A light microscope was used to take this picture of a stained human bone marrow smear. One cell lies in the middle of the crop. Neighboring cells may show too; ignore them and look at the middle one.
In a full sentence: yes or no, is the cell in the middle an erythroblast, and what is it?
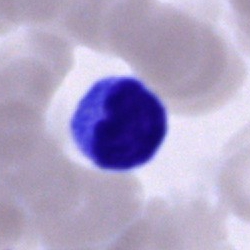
No, the cell positioned in the middle is a lymphocyte, not an erythroblast.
